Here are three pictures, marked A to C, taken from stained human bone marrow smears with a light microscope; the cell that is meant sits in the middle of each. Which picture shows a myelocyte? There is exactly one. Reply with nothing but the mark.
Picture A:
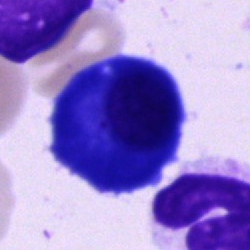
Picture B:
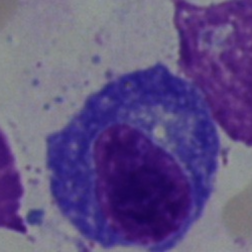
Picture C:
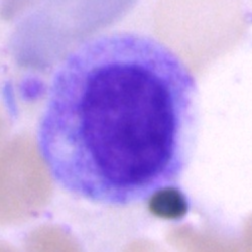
C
